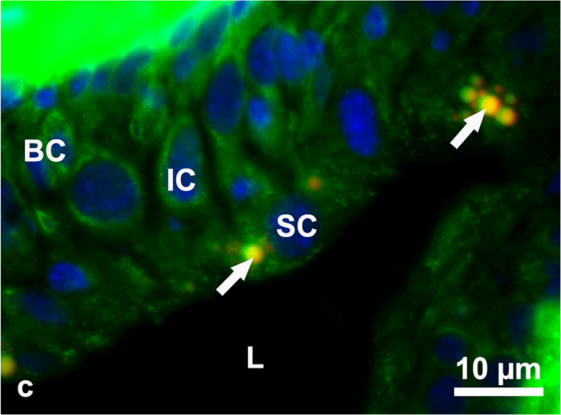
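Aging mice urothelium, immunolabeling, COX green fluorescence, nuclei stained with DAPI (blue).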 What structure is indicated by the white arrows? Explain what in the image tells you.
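Small round granules at the arrow tips glow yellow-orange, unlike the green elsewhere. So: lipofuscin granules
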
